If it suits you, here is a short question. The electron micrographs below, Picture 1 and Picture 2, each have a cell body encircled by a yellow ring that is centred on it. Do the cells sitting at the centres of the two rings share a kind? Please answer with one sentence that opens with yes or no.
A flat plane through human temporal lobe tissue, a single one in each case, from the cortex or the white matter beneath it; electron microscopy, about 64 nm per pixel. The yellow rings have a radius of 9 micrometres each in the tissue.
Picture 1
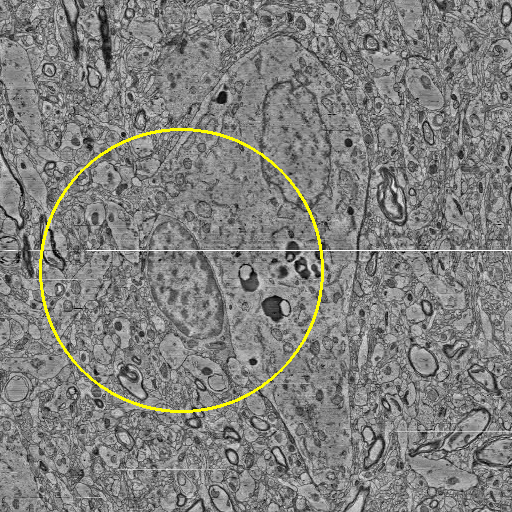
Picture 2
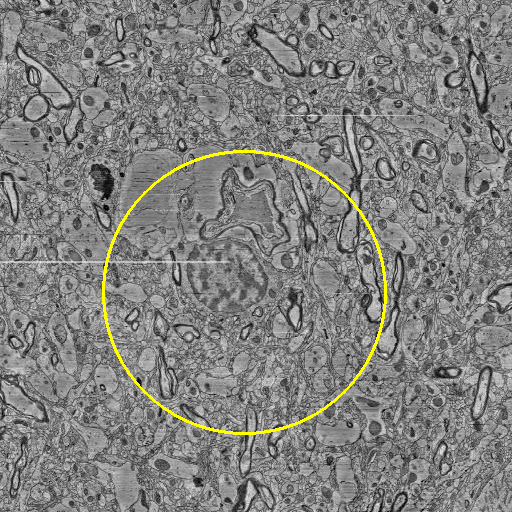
Yes, the two cells sitting at the ring centres share a single kind.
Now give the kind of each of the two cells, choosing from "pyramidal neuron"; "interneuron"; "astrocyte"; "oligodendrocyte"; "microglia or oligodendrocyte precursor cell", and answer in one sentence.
Both pictures show an oligodendrocyte at the centre of the ring.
